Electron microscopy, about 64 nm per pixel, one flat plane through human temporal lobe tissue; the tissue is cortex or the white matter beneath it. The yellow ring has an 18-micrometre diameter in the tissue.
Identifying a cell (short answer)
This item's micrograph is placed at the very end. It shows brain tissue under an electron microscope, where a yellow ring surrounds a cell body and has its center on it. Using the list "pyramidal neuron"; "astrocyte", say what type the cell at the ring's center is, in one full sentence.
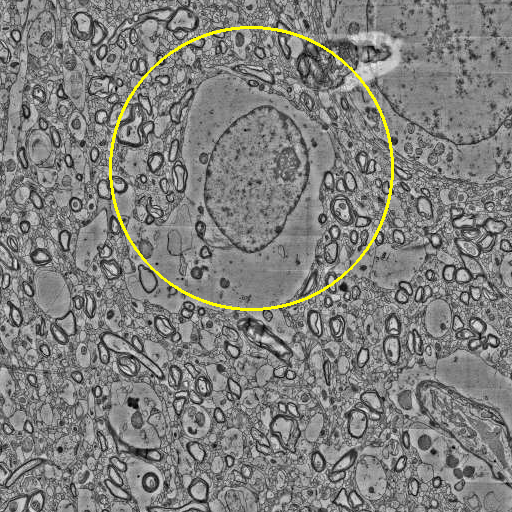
This picture shows an astrocyte at the center of the yellow ring drawn on it.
